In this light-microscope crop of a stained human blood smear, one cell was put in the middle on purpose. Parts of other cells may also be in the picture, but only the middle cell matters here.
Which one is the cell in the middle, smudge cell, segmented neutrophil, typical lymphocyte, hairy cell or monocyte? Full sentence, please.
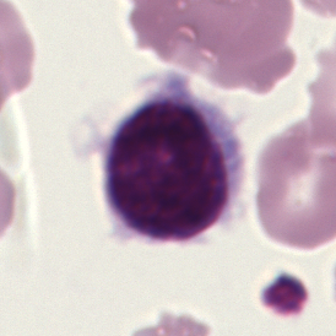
For this crop, the cell in the middle is a hairy cell.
